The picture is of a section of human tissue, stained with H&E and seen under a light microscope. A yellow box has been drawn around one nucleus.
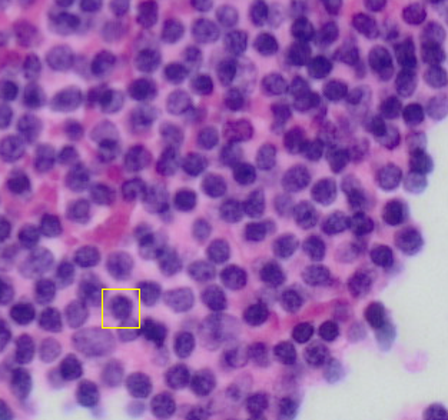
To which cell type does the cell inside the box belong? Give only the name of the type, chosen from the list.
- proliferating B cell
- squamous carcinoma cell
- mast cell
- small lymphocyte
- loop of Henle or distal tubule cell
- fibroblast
small lymphocyte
